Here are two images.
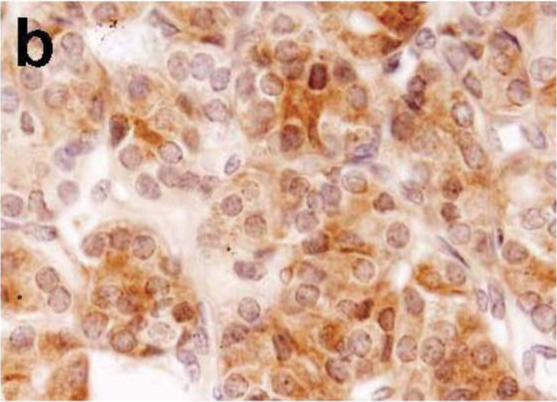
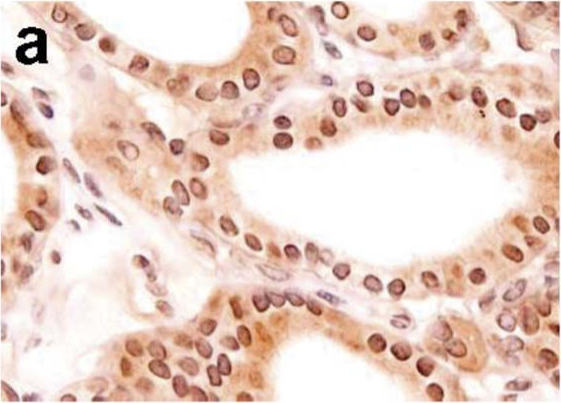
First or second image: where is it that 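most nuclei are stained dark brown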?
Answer: The second image.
